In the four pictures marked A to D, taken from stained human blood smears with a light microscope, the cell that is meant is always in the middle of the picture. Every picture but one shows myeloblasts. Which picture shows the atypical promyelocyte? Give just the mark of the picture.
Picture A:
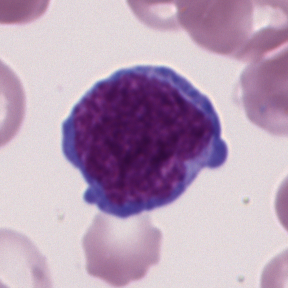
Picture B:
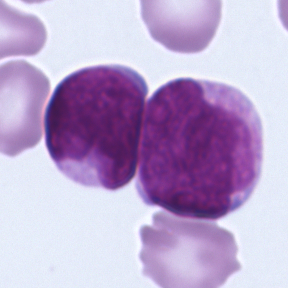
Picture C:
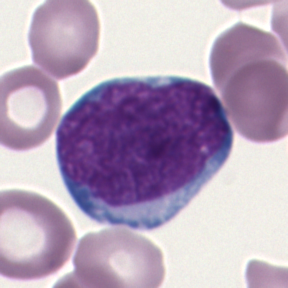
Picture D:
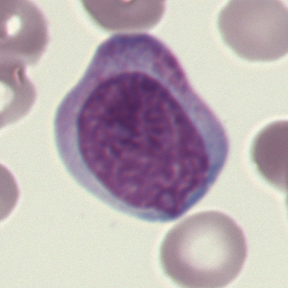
D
